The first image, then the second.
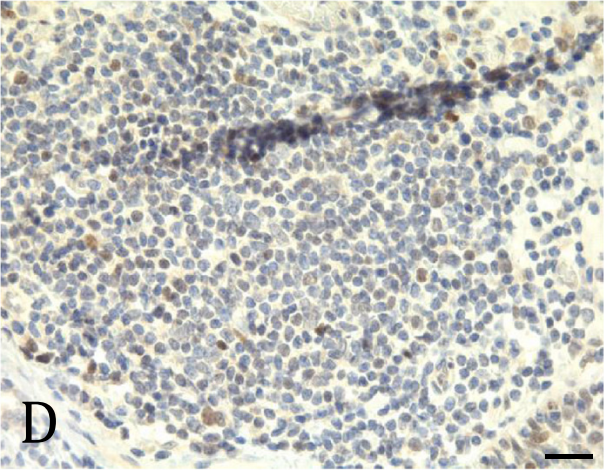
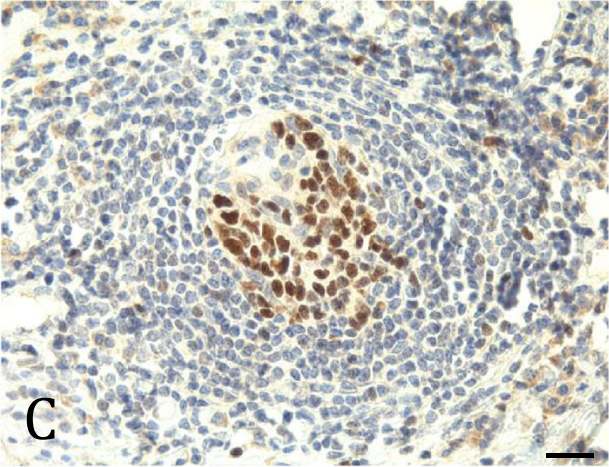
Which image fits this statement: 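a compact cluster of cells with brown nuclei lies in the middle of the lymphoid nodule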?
the second image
